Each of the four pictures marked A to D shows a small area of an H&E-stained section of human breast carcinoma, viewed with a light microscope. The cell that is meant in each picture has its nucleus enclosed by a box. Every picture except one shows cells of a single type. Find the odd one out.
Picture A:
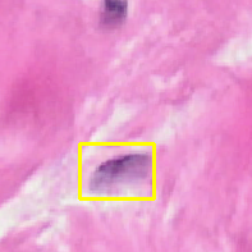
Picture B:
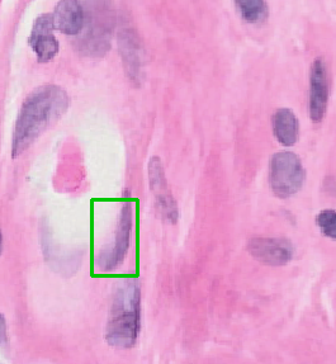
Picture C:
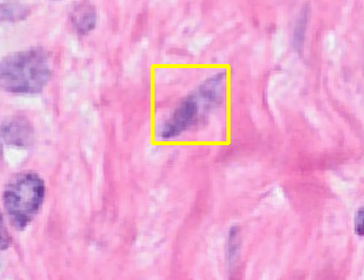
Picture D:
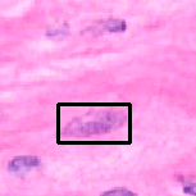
B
